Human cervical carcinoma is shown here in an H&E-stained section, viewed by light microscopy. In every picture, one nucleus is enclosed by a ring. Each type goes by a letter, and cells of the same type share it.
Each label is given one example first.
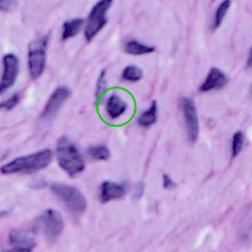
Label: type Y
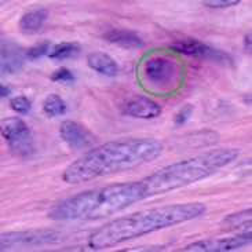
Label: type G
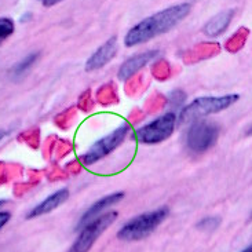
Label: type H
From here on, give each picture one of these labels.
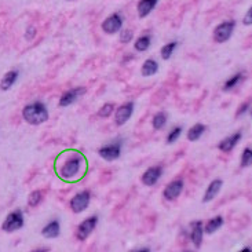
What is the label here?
type G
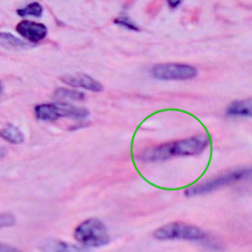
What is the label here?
type G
